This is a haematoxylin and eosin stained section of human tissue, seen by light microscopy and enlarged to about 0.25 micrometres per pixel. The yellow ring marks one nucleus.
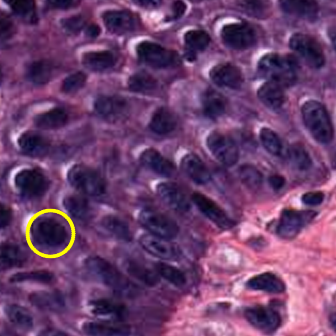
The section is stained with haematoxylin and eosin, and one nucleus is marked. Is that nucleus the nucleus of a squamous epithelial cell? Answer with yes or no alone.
yes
